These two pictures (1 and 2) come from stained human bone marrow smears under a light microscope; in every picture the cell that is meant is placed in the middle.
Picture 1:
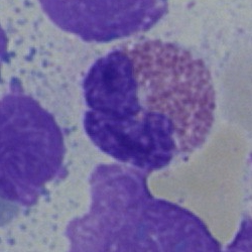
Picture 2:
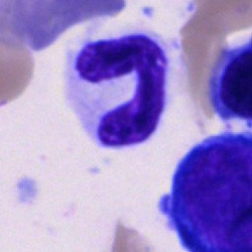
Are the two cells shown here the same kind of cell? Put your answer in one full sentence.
No, they differ: the cell is an eosinophil in picture 1 and a band neutrophil in picture 2.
